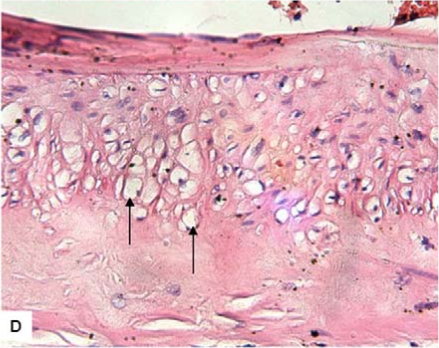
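Just below a thin pink luminal layer lies a band of cells whose cytoplasm is taken up by many clear, round vacuoles. Their purple nuclei are small and dense and sit squeezed at the margins of the vacuoles. Deeper down the wall becomes a paler pink fibrous matrix with only scattered elongated nuclei. Small dark granules are sprinkled across the tissue.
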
